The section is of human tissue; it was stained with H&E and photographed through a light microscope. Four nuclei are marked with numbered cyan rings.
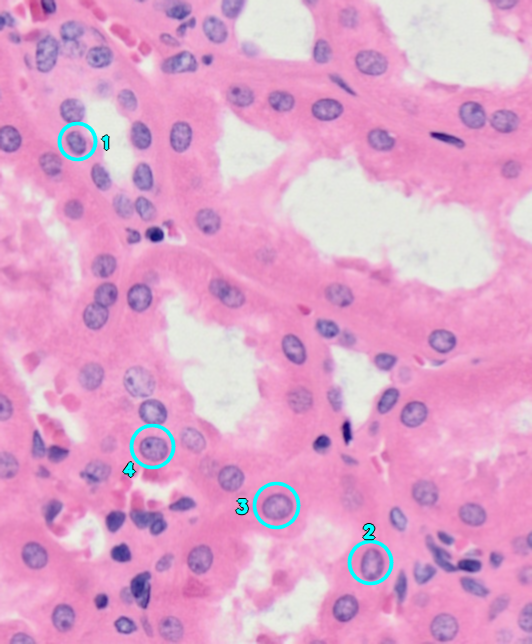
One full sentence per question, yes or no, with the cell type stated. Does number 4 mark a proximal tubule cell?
Yes, the cell carrying number 4 is a proximal tubule cell.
